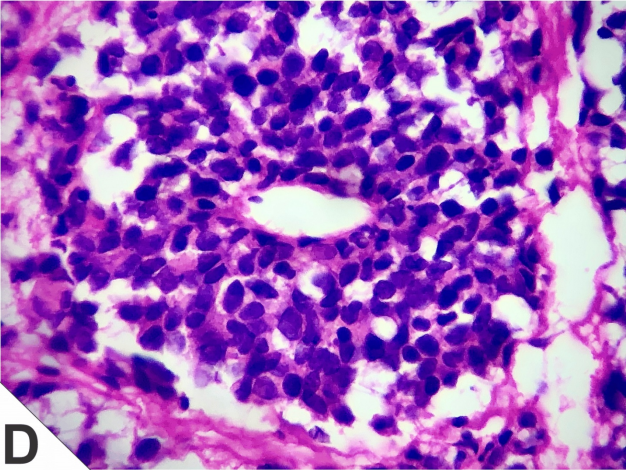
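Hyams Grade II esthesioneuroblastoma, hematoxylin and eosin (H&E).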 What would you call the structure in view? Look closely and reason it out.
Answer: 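An oval empty space in the middle of the field. The answer: True rosette.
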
